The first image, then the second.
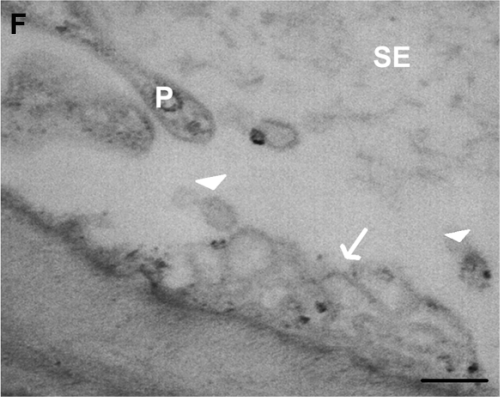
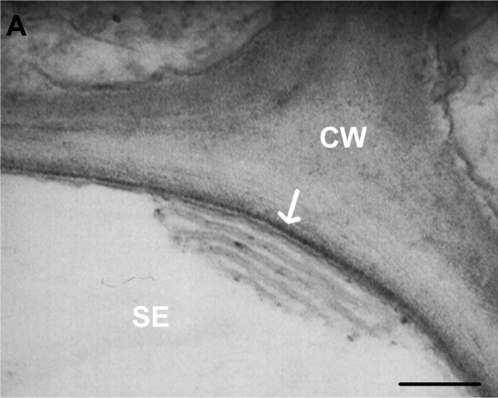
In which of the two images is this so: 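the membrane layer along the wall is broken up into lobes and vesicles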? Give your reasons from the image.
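First image: the layer along the wall consists of small rounded lobes and vesicles. Second image: the layer along the wall is a stack of long, smooth, parallel cisternae.
Hence: the first image.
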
